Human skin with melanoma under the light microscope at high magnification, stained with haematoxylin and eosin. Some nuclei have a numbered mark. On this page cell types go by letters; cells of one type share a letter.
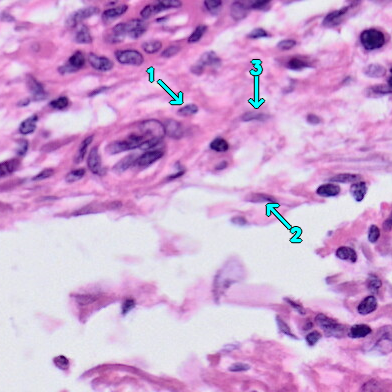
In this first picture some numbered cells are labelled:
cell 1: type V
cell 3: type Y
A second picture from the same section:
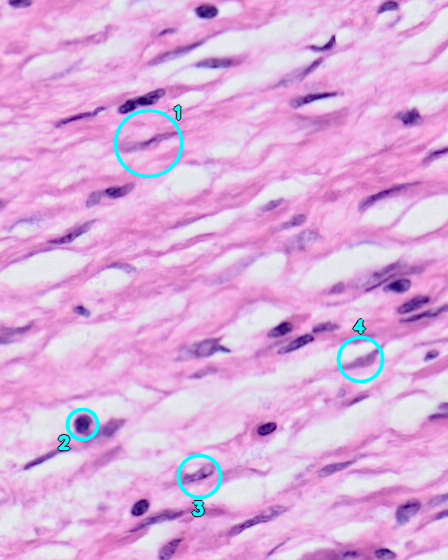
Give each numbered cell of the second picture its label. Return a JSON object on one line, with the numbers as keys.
{"1": "type Y", "2": "type V", "3": "type Y", "4": "type Y"}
